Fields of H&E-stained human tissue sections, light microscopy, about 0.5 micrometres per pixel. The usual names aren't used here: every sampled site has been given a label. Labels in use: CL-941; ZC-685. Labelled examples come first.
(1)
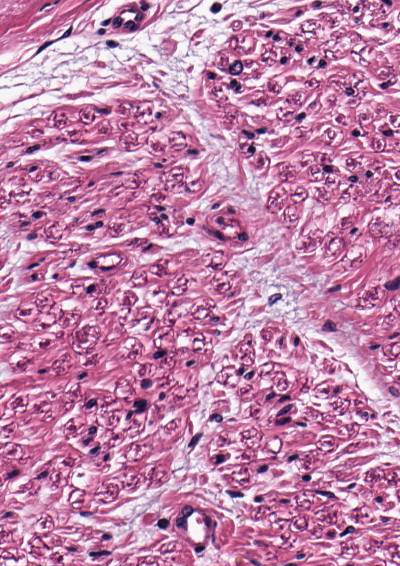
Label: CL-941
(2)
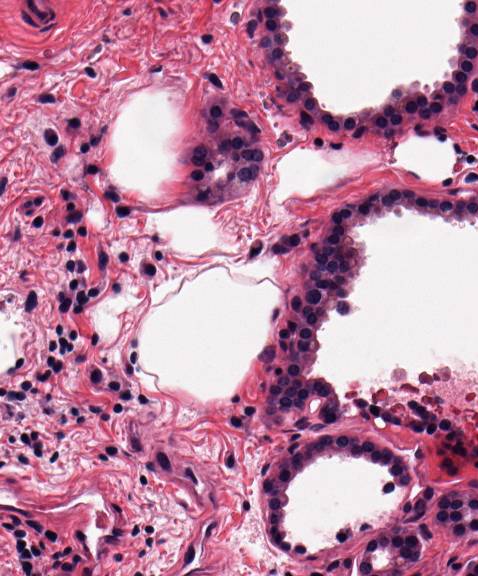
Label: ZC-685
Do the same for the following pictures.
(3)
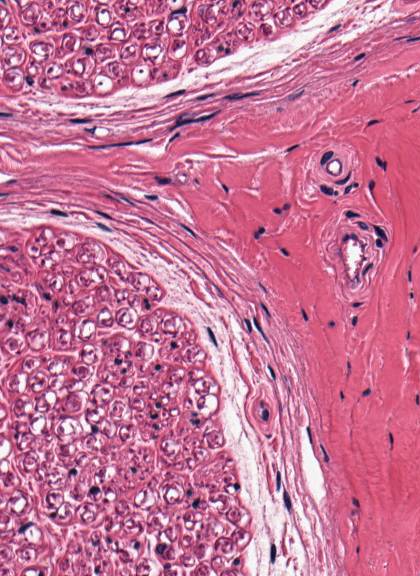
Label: CL-941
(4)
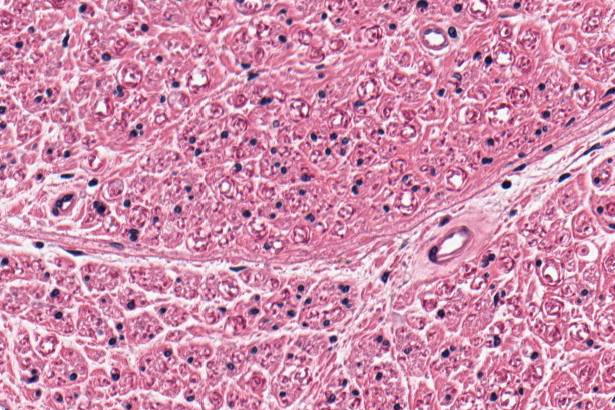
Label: CL-941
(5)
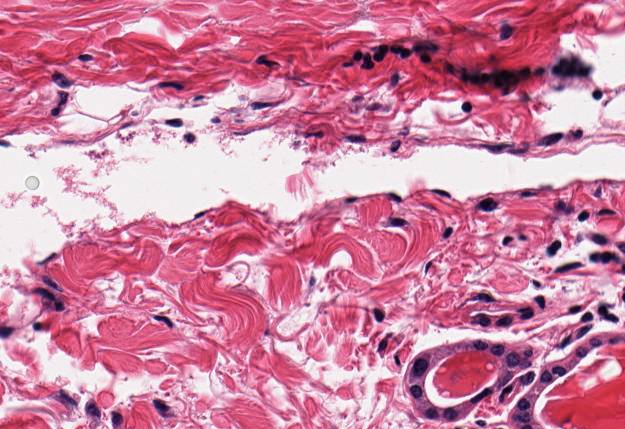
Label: ZC-685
